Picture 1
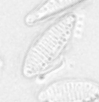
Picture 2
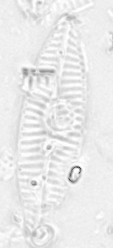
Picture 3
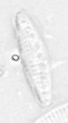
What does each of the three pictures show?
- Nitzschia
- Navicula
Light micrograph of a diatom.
Picture 1: Nitzschia
Picture 2: Navicula
Picture 3: Nitzschia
